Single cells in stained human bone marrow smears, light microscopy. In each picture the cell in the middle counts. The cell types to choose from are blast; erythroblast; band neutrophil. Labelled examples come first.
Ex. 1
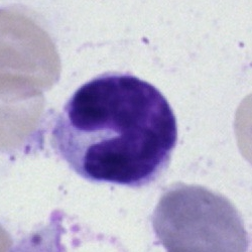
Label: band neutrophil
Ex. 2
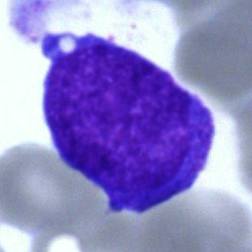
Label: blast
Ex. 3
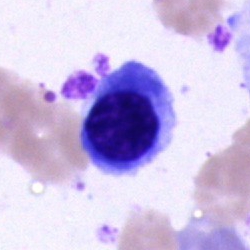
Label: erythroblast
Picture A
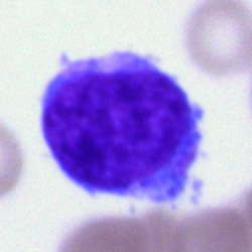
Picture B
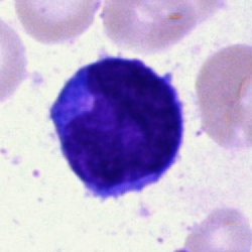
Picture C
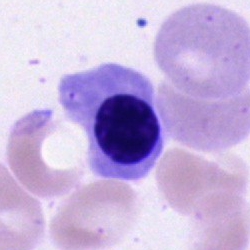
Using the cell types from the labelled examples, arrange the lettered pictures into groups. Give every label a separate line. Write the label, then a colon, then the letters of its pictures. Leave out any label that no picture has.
blast: A, B
erythroblast: C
